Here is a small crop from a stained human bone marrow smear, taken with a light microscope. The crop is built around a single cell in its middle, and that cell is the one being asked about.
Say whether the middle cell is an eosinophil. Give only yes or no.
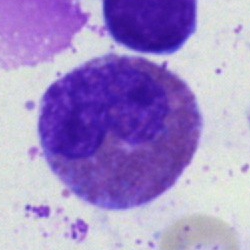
yes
